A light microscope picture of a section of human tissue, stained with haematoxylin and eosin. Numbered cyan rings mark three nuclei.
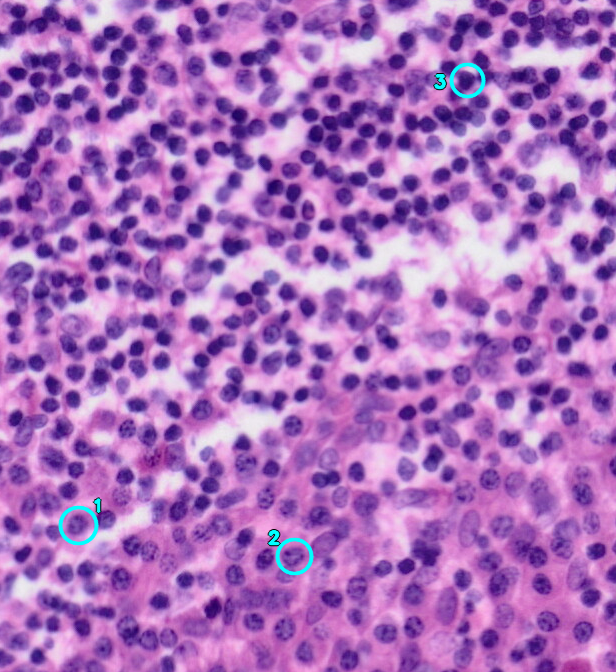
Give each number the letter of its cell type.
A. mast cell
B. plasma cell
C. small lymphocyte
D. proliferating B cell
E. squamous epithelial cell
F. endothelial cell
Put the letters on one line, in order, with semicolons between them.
B; B; C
